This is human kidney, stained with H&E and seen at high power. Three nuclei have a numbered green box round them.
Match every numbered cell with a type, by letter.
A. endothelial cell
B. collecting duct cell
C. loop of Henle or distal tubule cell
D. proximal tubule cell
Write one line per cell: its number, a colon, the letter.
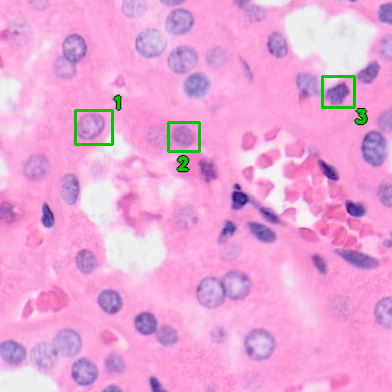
1: D
2: D
3: C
